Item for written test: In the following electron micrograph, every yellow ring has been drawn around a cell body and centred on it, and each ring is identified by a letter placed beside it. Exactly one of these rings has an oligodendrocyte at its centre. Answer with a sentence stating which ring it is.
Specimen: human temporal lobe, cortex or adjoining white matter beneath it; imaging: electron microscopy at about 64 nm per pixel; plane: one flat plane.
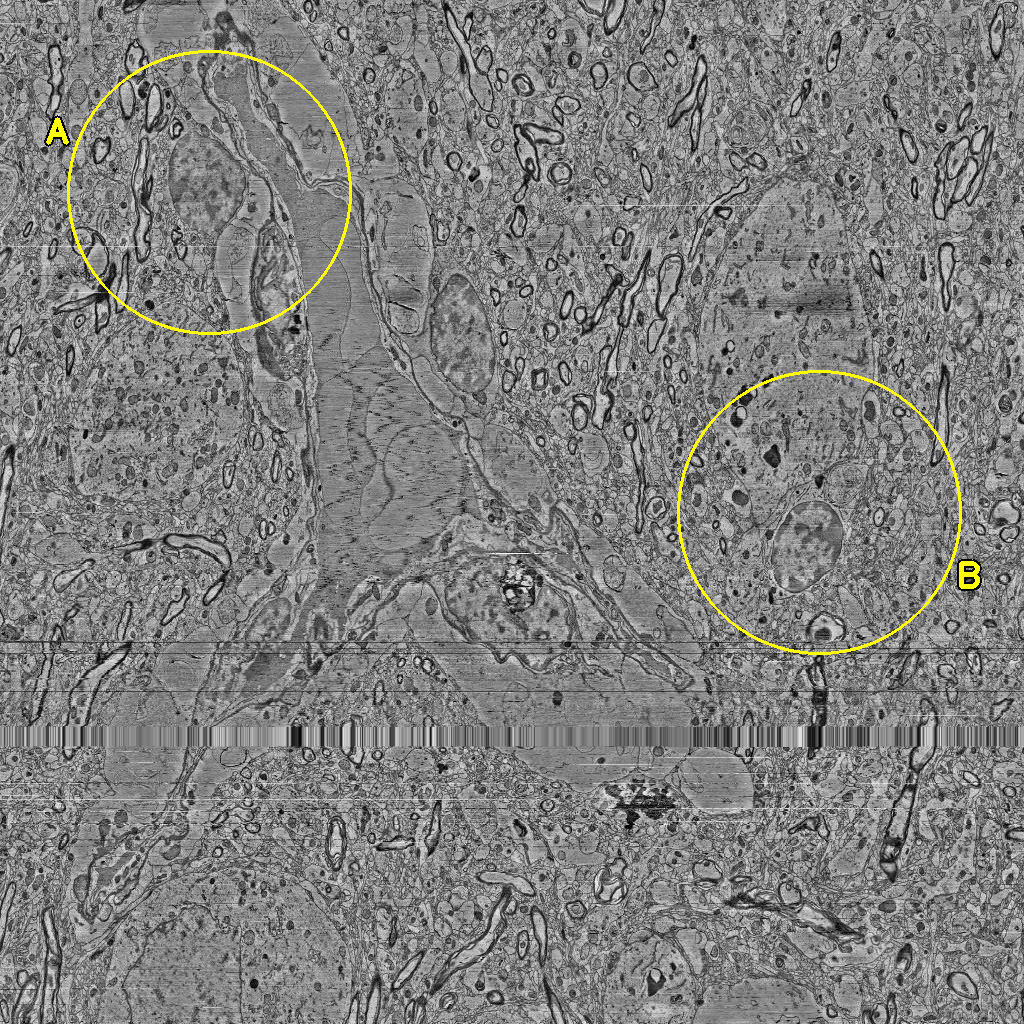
It is ring A.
